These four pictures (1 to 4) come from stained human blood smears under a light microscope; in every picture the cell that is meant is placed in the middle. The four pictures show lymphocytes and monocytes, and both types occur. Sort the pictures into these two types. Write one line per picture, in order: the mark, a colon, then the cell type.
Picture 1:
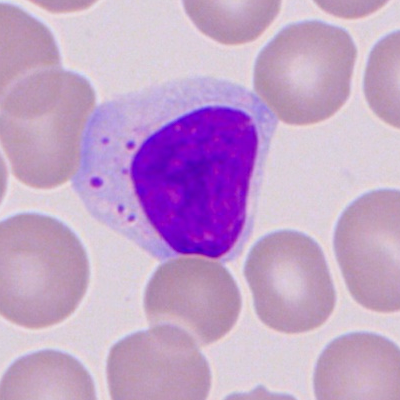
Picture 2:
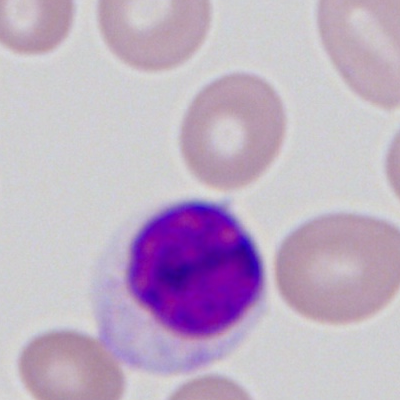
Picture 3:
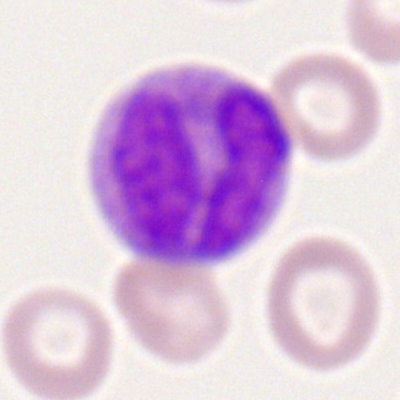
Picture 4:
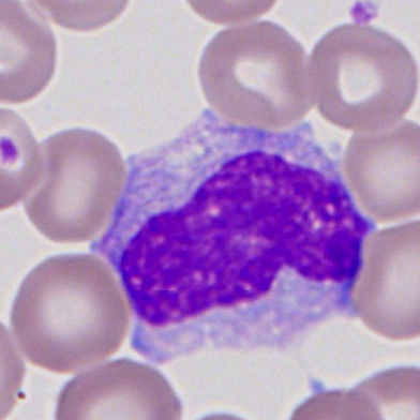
1: lymphocyte
2: lymphocyte
3: monocyte
4: monocyte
